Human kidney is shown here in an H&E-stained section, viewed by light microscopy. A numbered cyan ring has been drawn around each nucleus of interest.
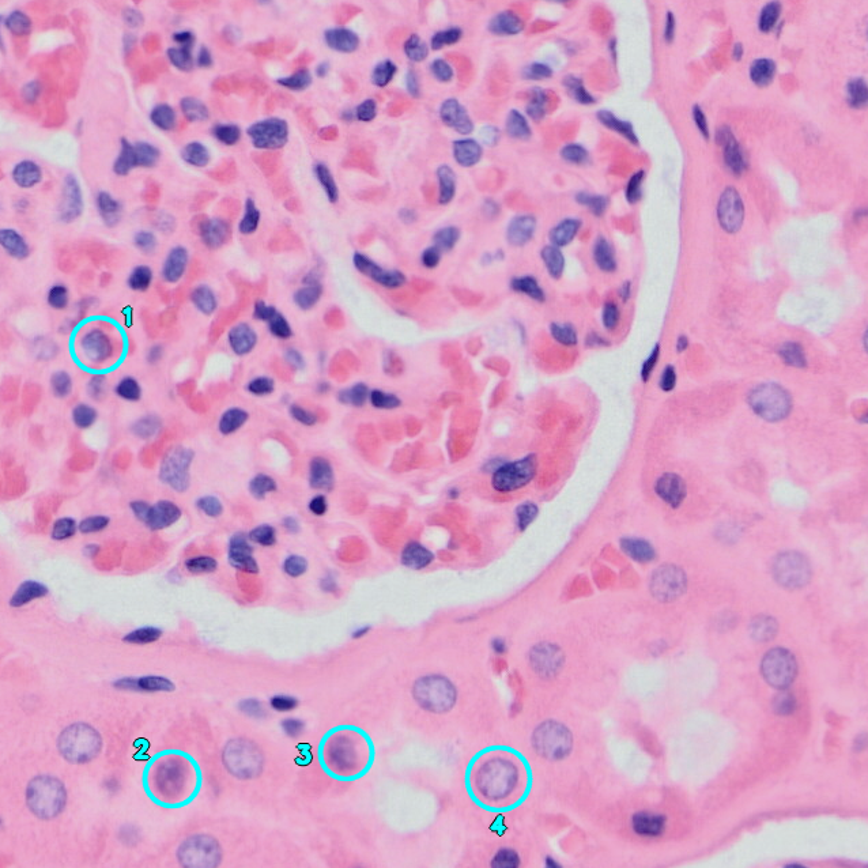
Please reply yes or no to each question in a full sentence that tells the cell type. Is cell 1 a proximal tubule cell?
No, number 1 is not a proximal tubule cell but an endothelial cell.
